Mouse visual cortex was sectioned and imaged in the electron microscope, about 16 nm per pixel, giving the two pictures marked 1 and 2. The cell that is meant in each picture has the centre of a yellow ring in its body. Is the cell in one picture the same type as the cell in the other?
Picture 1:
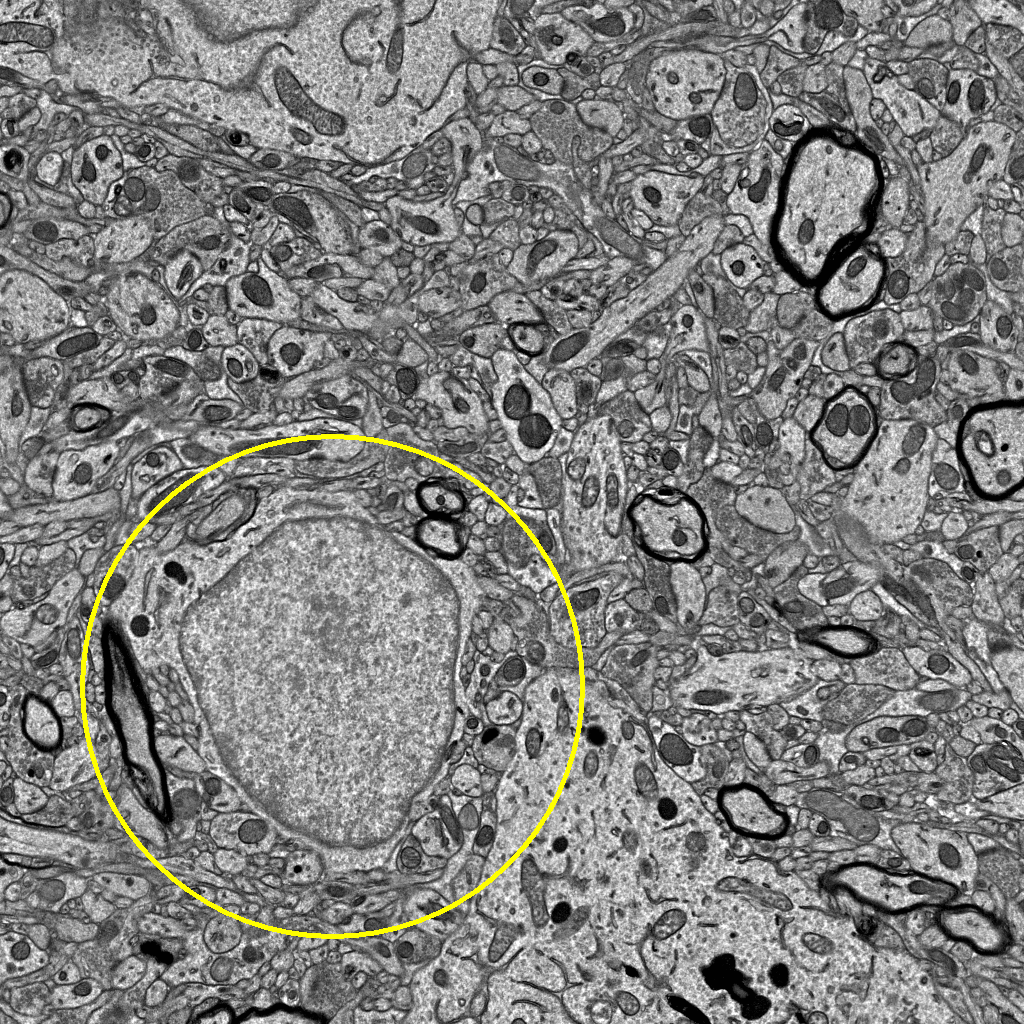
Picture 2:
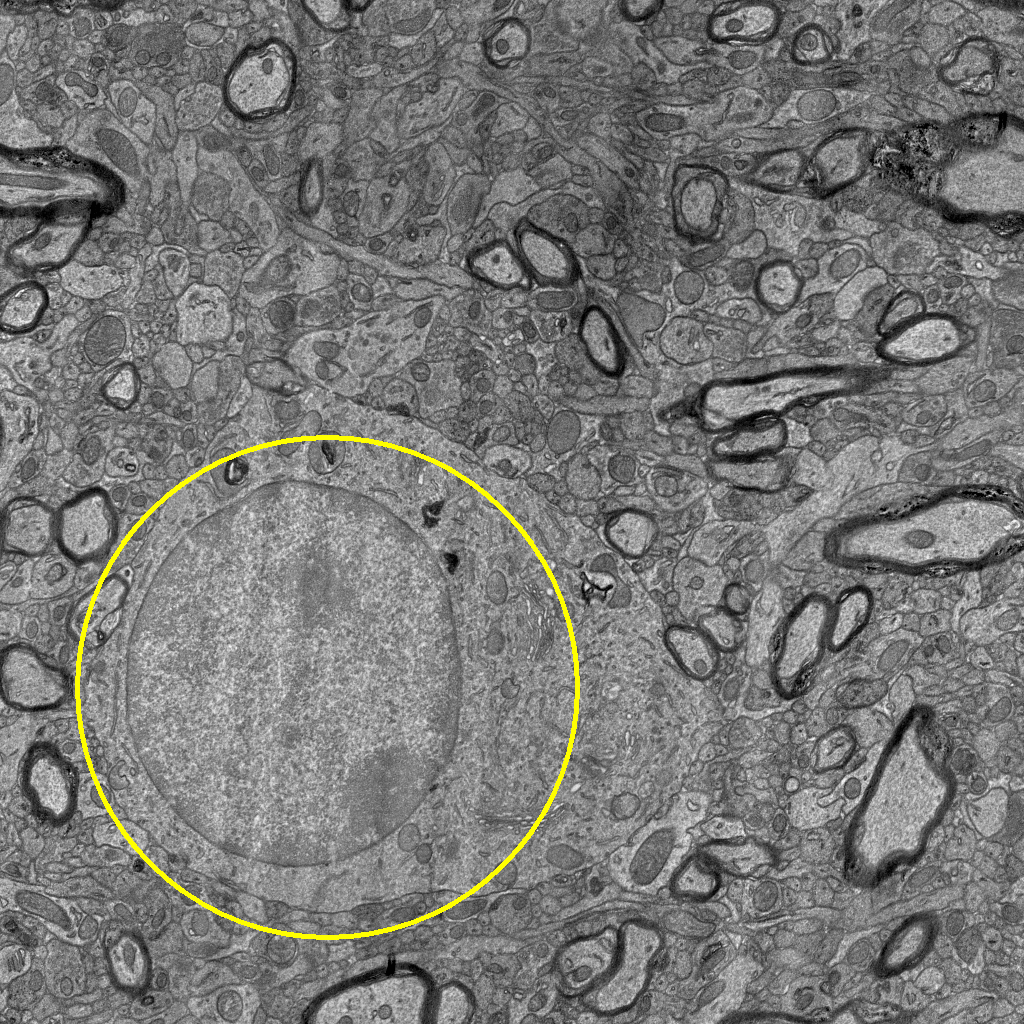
No, picture 1 shows an oligodendrocyte precursor cell and picture 2 shows an oligodendrocyte.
